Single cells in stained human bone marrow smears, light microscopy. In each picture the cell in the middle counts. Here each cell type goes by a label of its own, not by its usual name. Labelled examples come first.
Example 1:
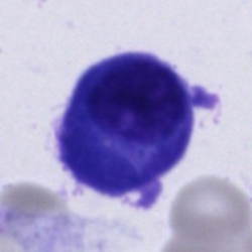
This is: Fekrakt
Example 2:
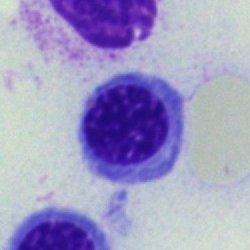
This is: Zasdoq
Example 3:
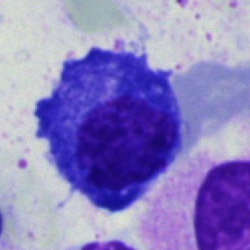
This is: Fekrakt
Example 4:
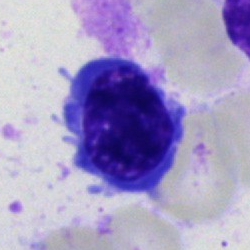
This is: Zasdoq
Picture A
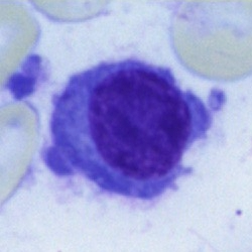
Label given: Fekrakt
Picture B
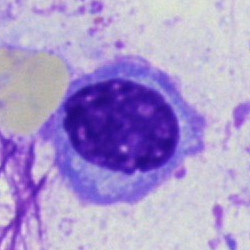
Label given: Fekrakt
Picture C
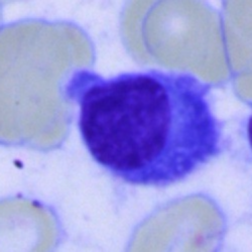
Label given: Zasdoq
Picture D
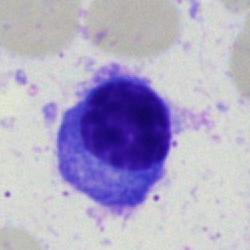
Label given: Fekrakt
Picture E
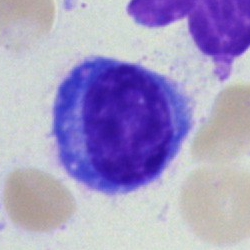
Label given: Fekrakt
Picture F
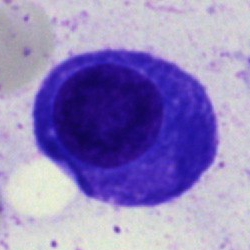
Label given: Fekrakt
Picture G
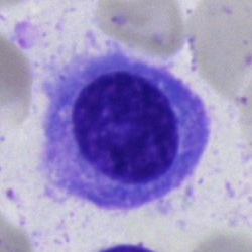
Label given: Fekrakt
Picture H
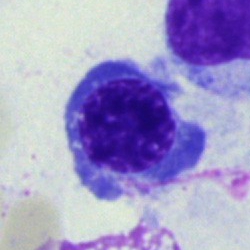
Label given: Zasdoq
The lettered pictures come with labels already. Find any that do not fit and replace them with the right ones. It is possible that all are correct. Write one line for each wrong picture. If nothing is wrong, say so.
C: Fekrakt, not Zasdoq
